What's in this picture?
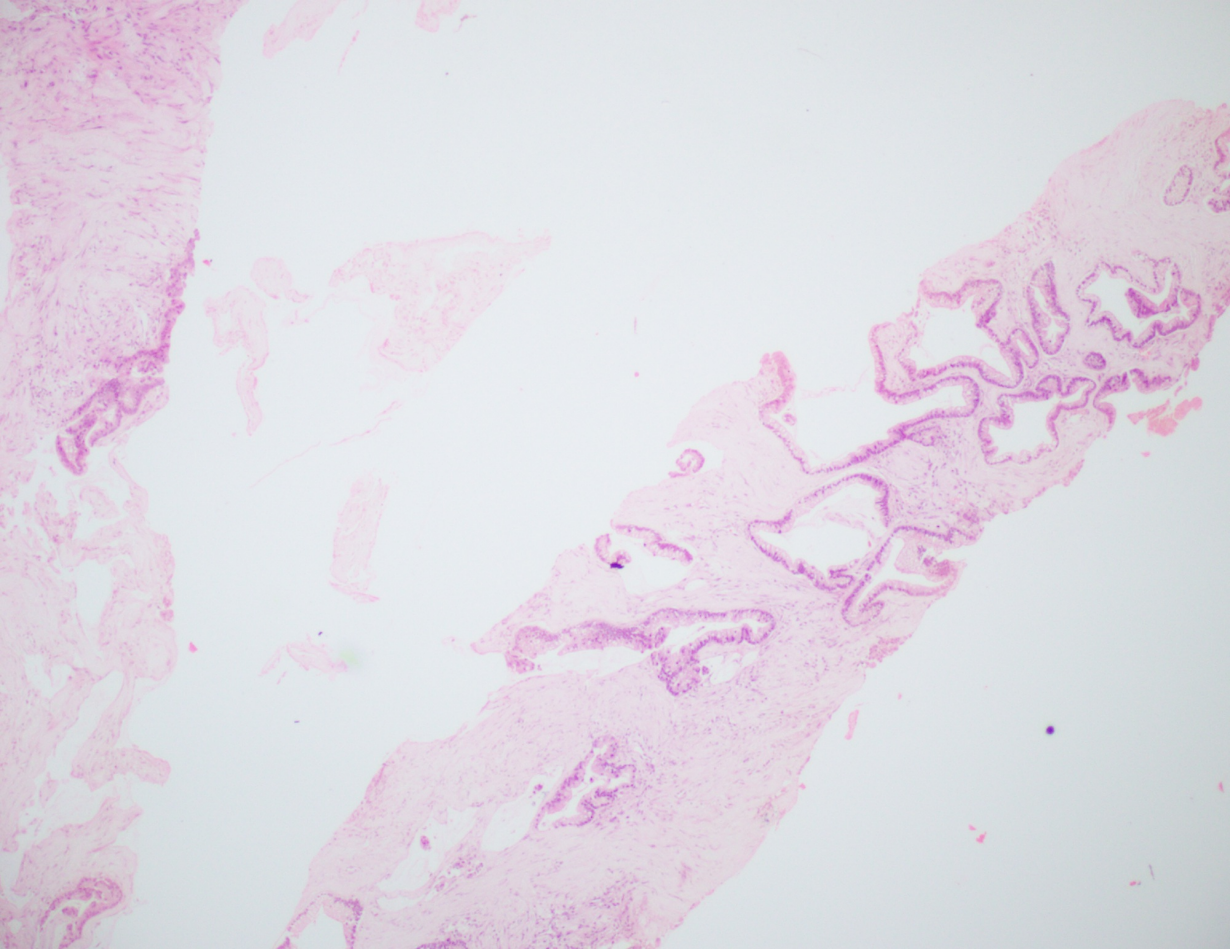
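Scattered through the stroma are irregular, angulated and branching glands lined by a dark purple epithelial layer. Fragmented, loosely arranged pink tissue lies between the cores.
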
